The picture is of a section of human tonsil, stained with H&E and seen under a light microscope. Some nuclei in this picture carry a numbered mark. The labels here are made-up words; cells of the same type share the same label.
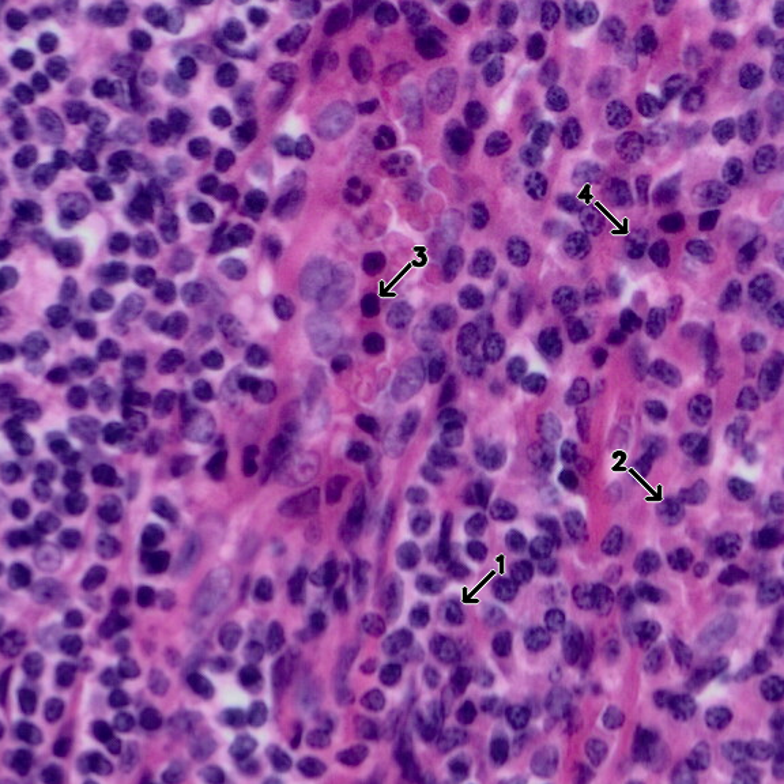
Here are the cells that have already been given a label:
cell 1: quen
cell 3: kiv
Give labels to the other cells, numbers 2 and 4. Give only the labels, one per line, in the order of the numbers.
quen
quen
